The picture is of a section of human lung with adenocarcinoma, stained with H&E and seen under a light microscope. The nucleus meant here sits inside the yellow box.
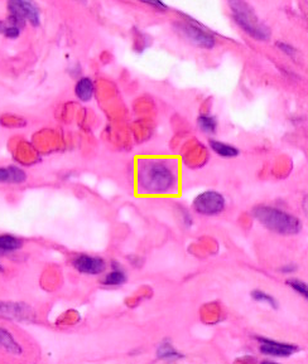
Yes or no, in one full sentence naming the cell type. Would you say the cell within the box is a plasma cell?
No, the cell within the box is identified as a macrophage or monocyte and not as a plasma cell.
